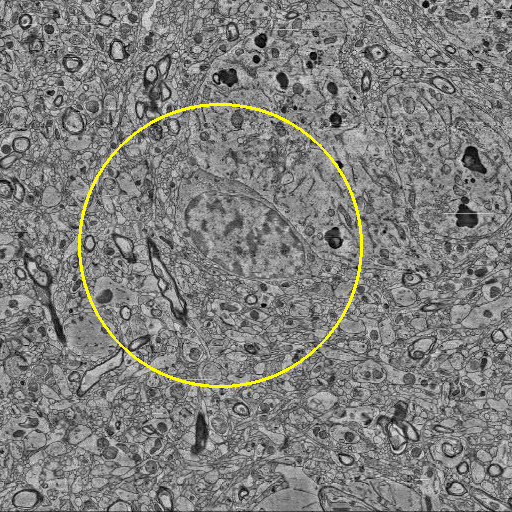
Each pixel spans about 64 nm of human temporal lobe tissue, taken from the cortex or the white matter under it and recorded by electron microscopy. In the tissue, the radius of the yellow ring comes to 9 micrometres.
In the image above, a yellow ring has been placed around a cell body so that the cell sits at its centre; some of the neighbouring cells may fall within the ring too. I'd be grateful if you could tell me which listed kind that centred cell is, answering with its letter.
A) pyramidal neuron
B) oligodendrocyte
B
